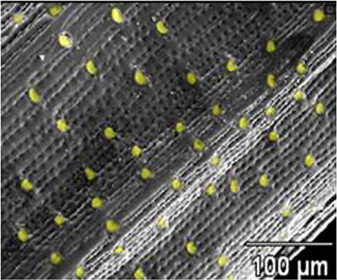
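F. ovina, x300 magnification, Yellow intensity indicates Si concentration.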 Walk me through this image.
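This is a scanning electron view of a grass leaf surface with parallel longitudinal ridges of elongated epidermal cells. Small rounded silica short cells, coloured bright yellow, are scattered in rows along the ridges, while the rest of the surface is grey.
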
